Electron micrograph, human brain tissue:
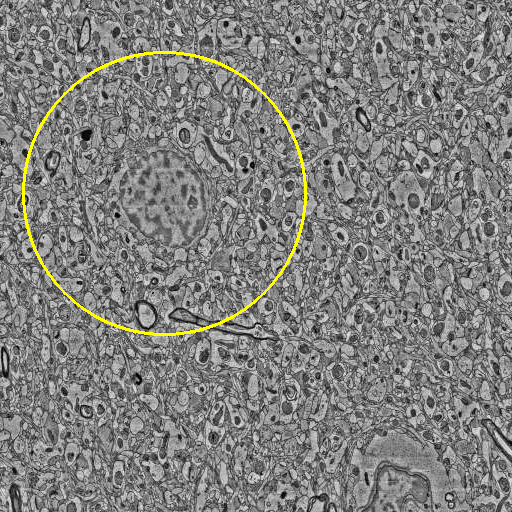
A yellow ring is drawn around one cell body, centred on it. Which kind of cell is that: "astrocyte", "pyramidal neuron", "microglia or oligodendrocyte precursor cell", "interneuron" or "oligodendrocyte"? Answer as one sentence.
It is a microglial cell or oligodendrocyte precursor cell at the centre of the ring.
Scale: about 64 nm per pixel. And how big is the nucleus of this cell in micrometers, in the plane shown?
The nucleus comes to roughly 6 by 5 micrometres in this plane.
